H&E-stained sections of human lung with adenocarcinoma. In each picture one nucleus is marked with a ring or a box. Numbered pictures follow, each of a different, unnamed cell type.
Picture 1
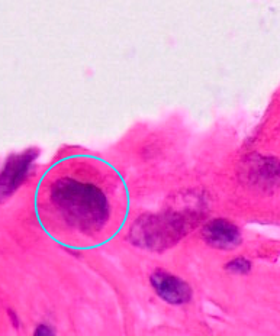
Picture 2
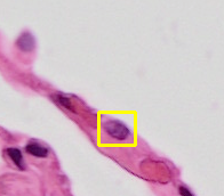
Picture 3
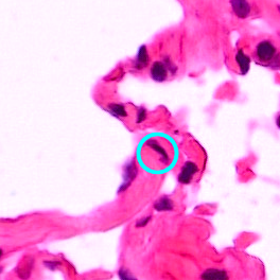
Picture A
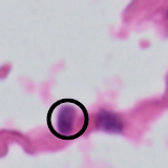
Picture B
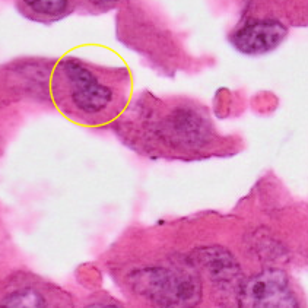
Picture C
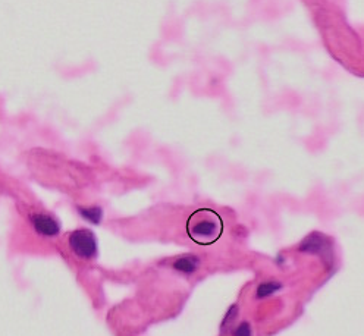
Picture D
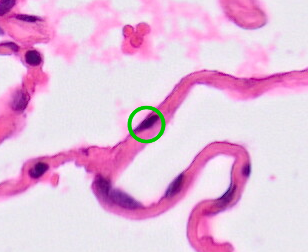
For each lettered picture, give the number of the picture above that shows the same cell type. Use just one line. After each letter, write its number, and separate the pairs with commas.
A 2, B 1, C 3, D 3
